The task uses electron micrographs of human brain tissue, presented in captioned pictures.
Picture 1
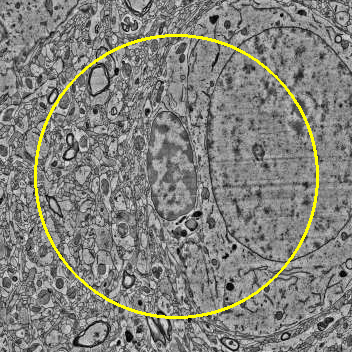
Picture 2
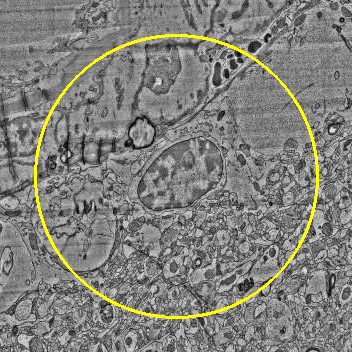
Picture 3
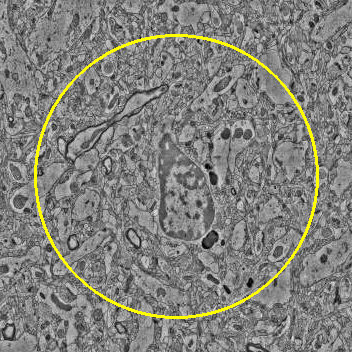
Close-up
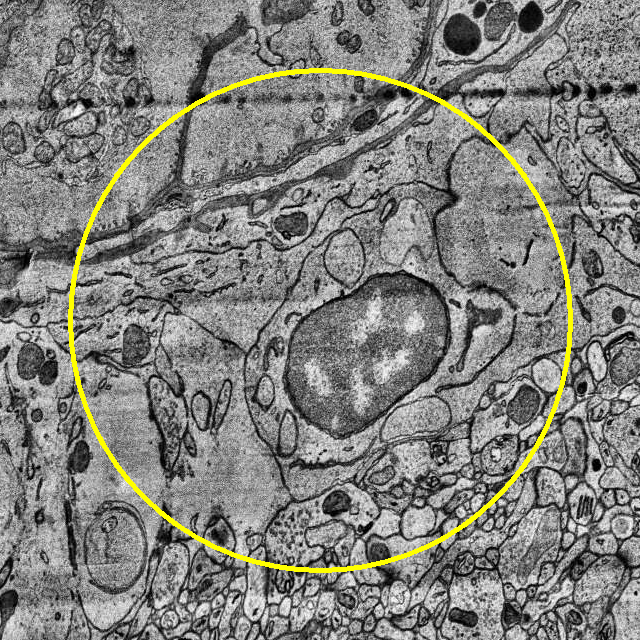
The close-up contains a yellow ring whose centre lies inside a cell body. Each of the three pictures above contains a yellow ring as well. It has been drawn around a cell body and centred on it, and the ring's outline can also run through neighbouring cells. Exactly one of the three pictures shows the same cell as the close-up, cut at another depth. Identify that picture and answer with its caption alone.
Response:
Picture 2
